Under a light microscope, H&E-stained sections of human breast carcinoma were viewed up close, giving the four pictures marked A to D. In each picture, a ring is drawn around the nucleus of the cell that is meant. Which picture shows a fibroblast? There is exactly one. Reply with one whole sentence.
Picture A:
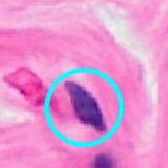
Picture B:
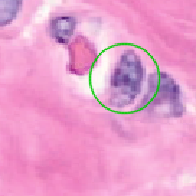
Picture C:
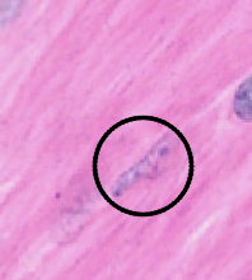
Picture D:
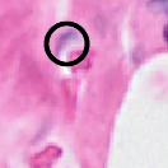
It is picture C that shows the fibroblast.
